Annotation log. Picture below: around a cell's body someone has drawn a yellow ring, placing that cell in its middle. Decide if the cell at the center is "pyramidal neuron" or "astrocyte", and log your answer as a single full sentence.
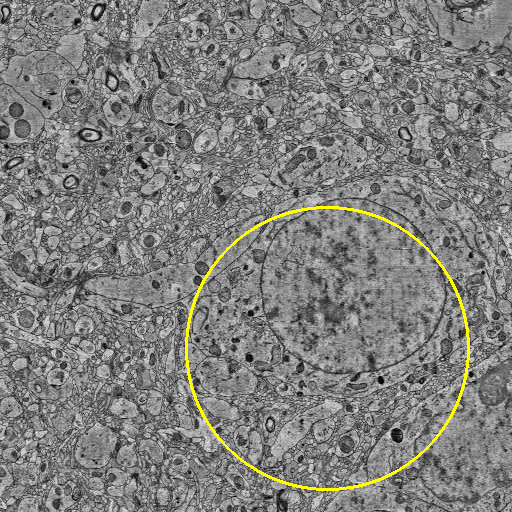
My entry records a pyramidal neuron as the cell sitting at the center of the yellow ring.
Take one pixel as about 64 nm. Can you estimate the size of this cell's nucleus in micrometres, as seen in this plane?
About 12 micrometers across, in this plane.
